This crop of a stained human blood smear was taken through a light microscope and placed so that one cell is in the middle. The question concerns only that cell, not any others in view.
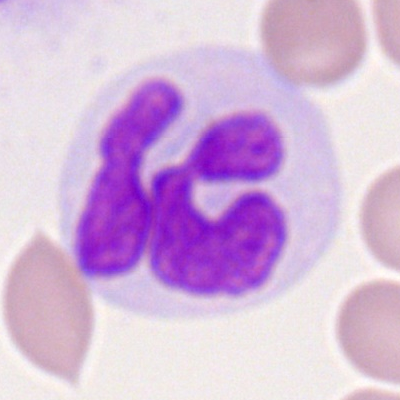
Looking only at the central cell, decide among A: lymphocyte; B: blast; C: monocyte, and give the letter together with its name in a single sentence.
The middle cell of the crop is a monocyte; accordingly, option C is correct.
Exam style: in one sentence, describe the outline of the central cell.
The edge of the cell is unbroken and smooth, bearing no projections.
